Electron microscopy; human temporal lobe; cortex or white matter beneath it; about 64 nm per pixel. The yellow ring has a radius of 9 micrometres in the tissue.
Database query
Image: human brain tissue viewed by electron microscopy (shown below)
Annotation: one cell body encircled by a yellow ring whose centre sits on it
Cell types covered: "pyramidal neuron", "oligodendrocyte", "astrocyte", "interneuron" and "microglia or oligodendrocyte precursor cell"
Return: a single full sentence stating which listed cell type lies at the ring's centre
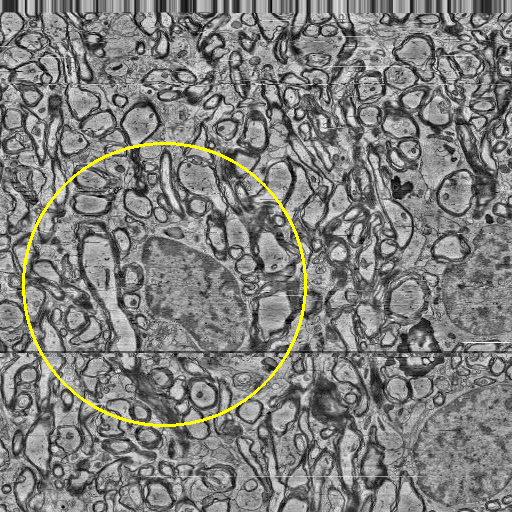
In the image, the cell lying at the ring's centre is a microglial cell or oligodendrocyte precursor cell.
